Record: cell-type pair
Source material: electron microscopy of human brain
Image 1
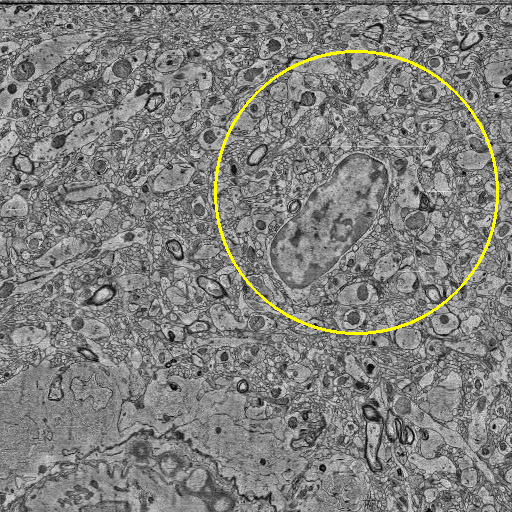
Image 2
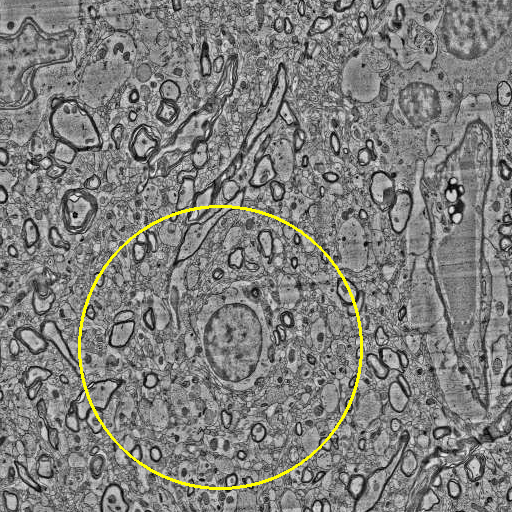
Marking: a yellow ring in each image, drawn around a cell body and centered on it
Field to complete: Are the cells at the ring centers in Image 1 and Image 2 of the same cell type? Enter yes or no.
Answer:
yes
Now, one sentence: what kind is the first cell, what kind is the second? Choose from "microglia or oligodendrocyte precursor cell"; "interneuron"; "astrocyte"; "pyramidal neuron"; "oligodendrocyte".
Each of the two cells is a microglial cell or oligodendrocyte precursor cell.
